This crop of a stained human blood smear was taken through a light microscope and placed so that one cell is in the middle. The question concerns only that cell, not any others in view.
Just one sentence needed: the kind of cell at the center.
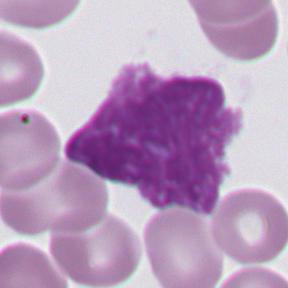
The cell featured at the centre of this crop is a smudge cell.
